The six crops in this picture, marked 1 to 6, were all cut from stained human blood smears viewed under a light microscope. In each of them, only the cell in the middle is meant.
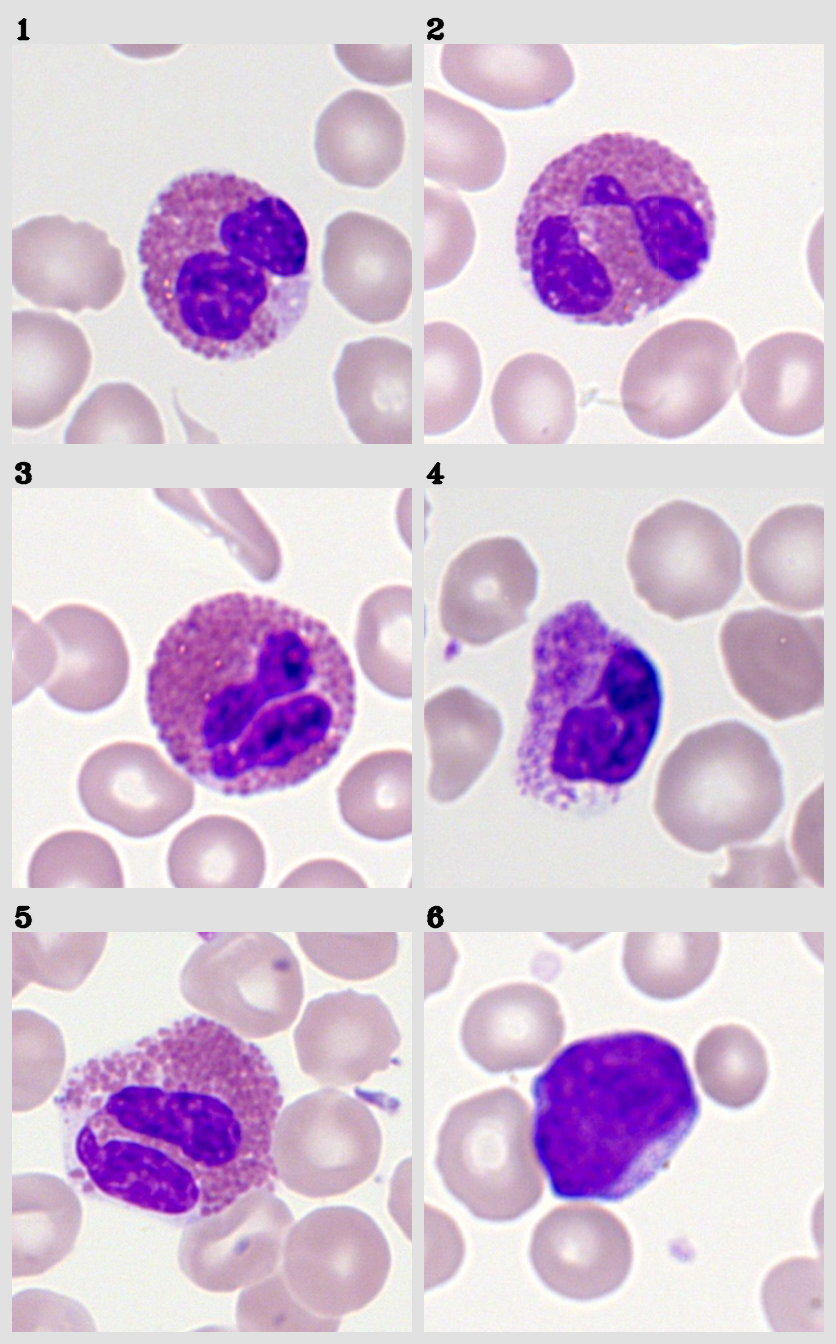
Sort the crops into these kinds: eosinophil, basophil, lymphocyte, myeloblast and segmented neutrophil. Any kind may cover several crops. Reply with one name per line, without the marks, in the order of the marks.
eosinophil
eosinophil
eosinophil
basophil
eosinophil
myeloblast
